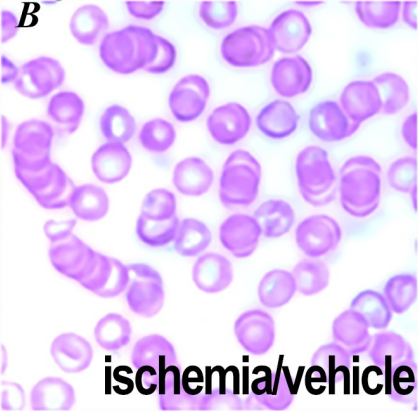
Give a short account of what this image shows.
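A peripheral blood smear shows erythrocytes that lie overlapping in stacks, chains and clumps rather than apart. The cells are round, pink to purple and without nuclei, and clear spaces open between the clustered groups.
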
